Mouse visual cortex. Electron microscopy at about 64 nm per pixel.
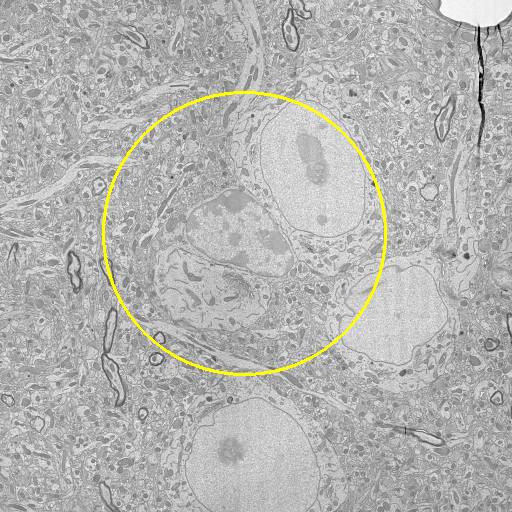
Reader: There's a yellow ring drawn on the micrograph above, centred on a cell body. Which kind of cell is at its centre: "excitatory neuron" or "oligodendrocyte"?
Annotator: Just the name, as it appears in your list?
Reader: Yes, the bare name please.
oligodendrocyte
